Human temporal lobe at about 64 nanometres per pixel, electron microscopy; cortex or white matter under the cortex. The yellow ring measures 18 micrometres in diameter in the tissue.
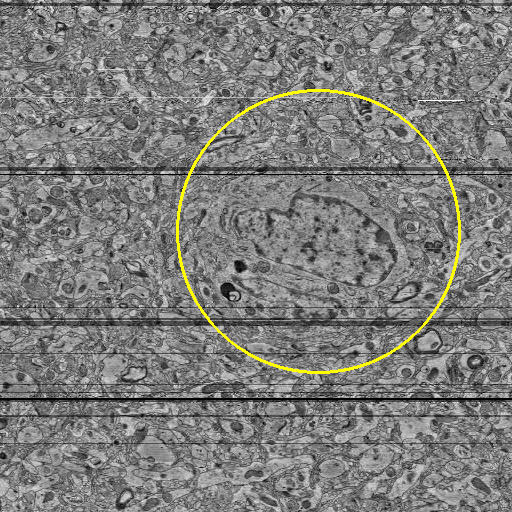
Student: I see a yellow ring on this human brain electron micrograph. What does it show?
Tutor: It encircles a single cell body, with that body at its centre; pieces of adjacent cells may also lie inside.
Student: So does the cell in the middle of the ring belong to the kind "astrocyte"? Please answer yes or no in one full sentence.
Yes, the cell in the middle of that yellow ring belongs to this kind.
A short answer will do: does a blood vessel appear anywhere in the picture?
No, there is no blood vessel.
